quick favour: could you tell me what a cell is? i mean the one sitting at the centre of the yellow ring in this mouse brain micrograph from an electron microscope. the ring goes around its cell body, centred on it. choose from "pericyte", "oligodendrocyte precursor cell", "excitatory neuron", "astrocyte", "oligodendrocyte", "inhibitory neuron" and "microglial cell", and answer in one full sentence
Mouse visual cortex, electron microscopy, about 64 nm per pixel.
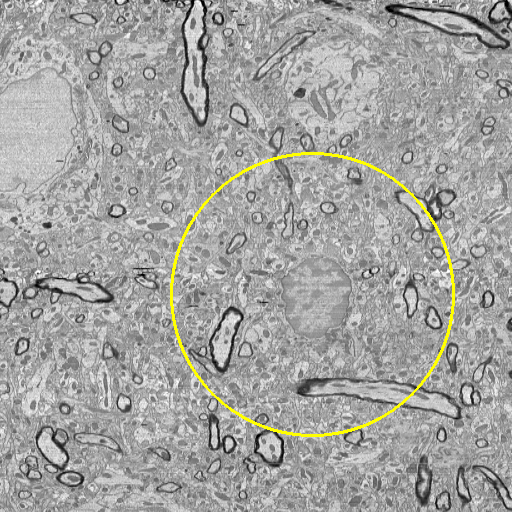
That's a microglial cell, the cell sitting at the centre of the yellow ring.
